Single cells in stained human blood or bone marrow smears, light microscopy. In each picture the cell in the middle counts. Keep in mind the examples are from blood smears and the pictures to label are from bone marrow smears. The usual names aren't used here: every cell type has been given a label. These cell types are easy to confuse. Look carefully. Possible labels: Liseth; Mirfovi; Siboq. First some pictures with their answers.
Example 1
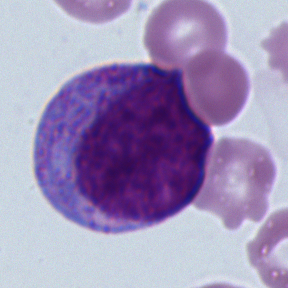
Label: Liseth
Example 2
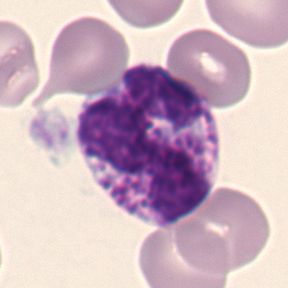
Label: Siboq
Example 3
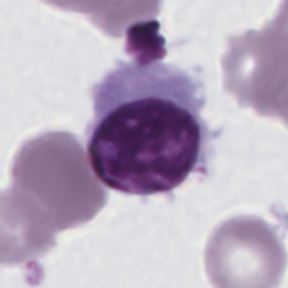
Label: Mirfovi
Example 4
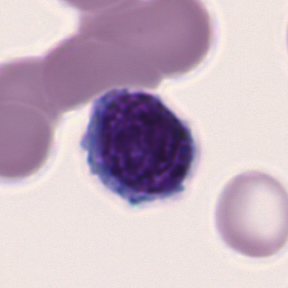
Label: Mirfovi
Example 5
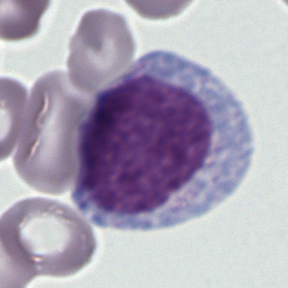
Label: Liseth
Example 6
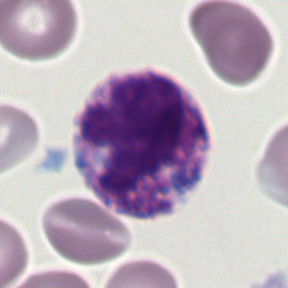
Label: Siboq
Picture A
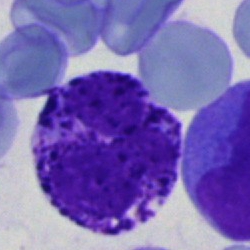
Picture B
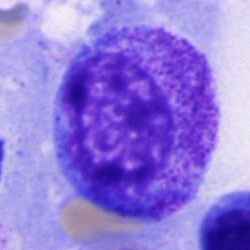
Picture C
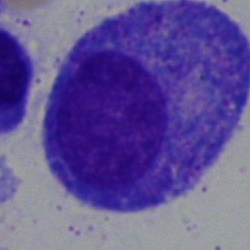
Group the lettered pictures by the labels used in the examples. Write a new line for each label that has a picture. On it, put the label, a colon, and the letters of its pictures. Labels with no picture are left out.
Liseth: B, C
Siboq: A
